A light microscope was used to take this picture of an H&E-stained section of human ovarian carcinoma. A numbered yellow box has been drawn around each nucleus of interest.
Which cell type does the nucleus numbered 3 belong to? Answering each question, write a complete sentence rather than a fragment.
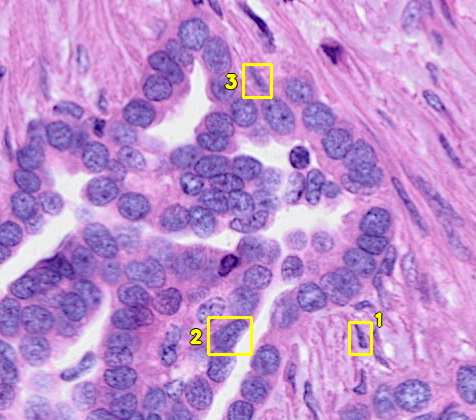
The cell pointed out as number 3 is a fibroblast.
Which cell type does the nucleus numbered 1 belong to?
Classified as a fibroblast is the cell with the number 1.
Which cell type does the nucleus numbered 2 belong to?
The one labeled 2 is a carcinoma cell, to put it simply.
